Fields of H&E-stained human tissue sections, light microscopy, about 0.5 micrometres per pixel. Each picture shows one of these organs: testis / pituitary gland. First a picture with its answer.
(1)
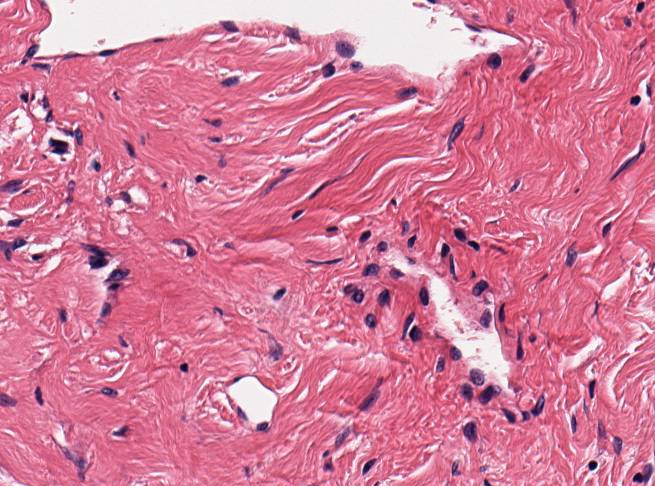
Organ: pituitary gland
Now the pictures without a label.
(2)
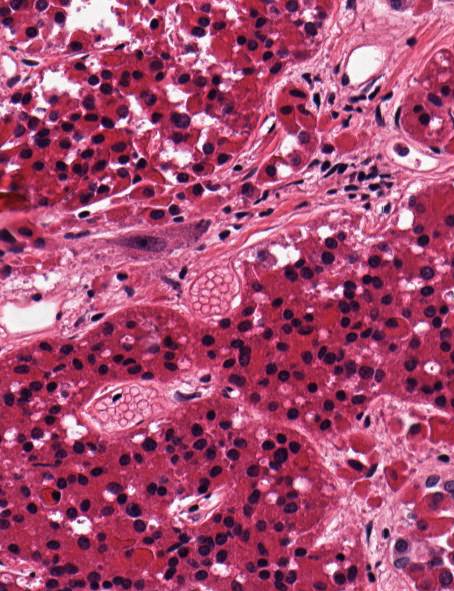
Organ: pituitary gland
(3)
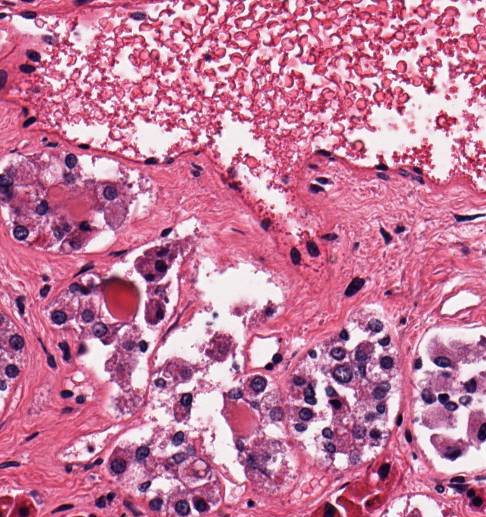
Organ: pituitary gland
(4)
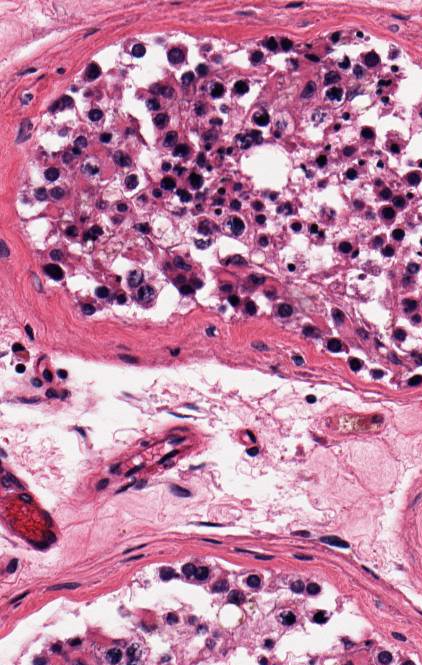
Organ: testis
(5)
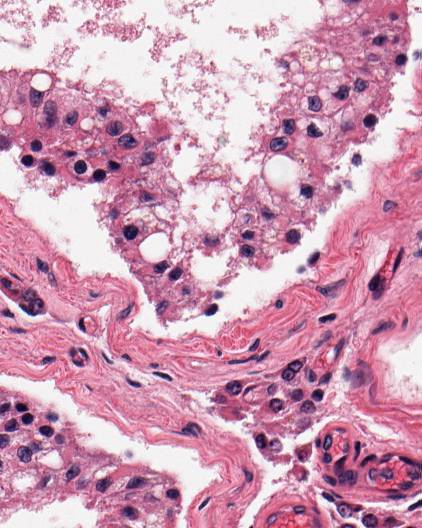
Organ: testis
